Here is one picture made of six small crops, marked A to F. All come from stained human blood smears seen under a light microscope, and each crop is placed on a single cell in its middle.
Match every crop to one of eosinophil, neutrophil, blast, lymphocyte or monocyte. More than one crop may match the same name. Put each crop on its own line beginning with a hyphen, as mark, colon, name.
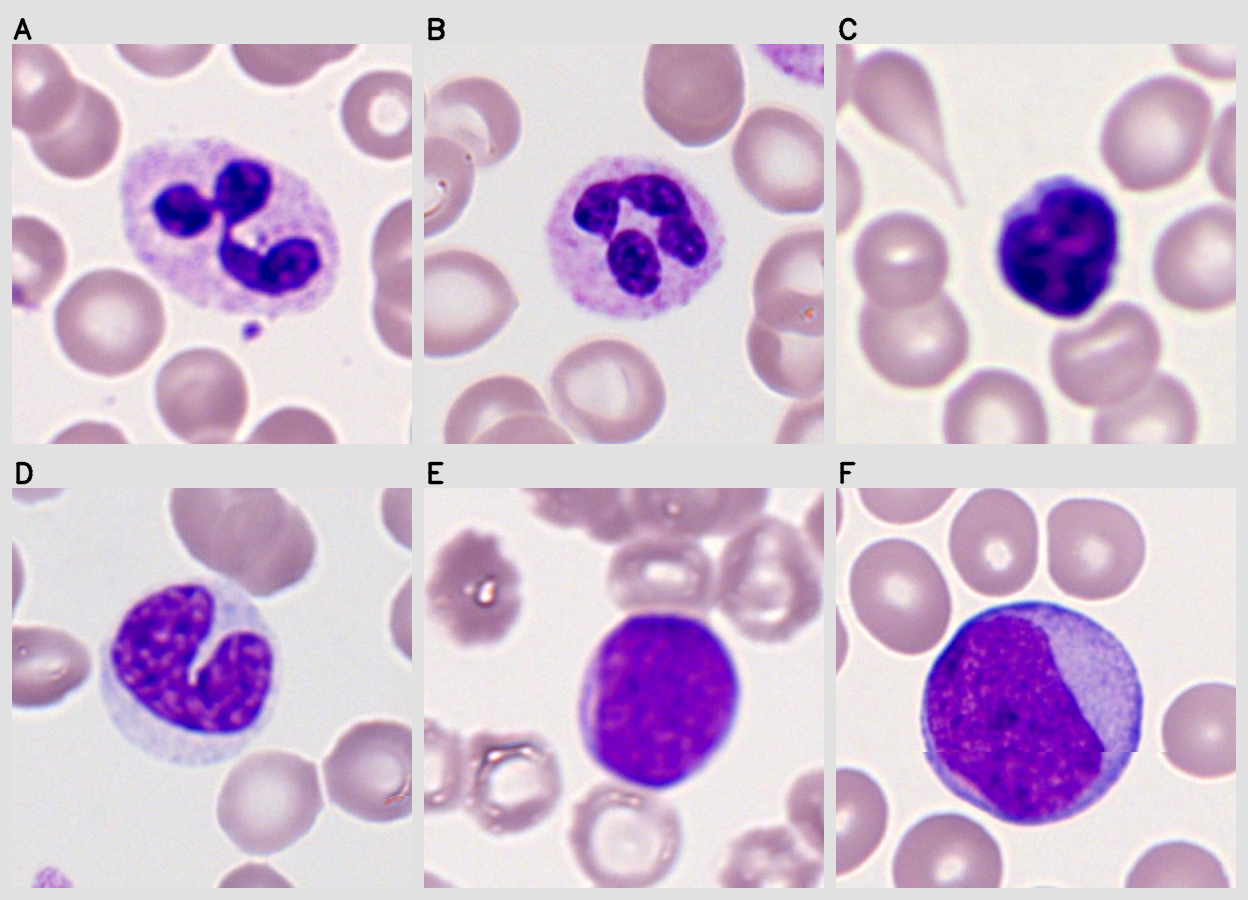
- A: neutrophil
- B: neutrophil
- C: lymphocyte
- D: monocyte
- E: blast
- F: blast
